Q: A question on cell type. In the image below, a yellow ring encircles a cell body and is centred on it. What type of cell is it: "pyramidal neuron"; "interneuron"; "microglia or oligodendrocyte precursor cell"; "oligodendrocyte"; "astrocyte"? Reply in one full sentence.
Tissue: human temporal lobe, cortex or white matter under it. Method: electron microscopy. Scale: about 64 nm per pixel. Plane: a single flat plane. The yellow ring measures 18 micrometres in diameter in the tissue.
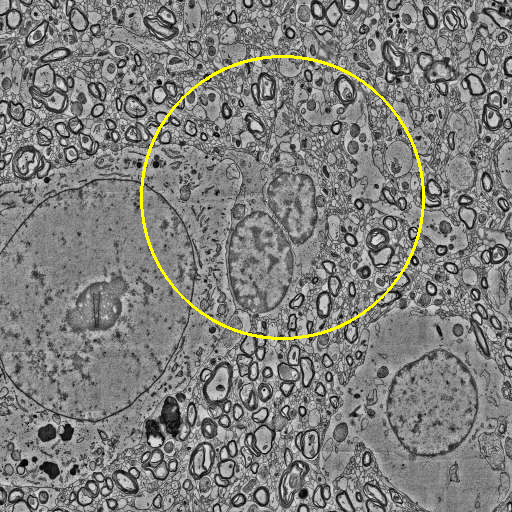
It is an oligodendrocyte whose cell body sits at the centre of the yellow ring in the image.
